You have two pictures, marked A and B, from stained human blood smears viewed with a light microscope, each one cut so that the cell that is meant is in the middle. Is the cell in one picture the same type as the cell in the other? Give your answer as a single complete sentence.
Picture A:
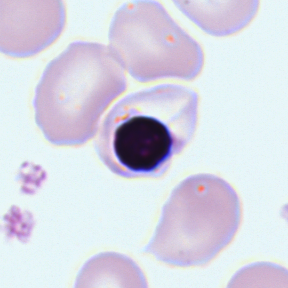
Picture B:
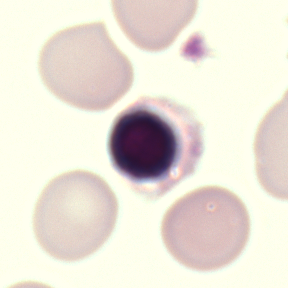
Yes, they are the same type: both are normoblasts.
